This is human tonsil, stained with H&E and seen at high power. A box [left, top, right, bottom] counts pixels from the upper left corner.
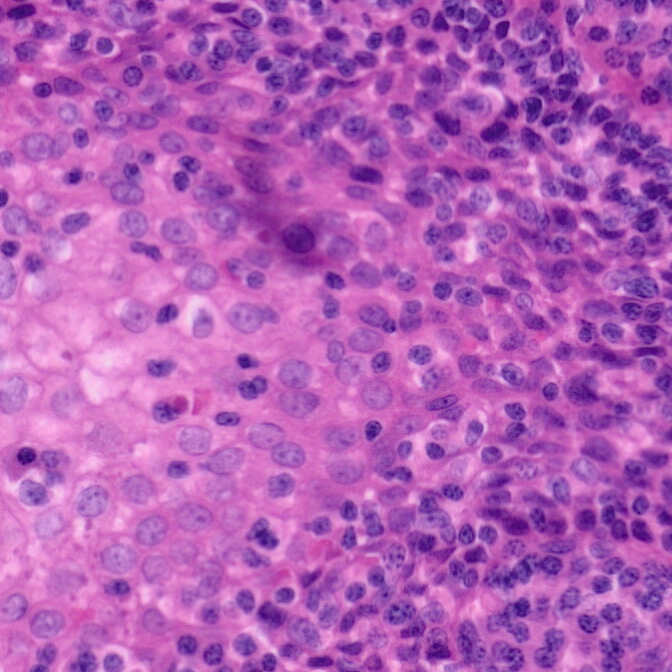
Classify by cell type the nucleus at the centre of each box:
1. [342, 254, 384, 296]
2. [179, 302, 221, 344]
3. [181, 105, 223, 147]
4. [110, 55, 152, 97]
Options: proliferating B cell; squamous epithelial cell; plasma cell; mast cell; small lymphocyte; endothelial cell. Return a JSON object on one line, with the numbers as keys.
{"1": "squamous epithelial cell", "2": "squamous epithelial cell", "3": "squamous epithelial cell", "4": "plasma cell"}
